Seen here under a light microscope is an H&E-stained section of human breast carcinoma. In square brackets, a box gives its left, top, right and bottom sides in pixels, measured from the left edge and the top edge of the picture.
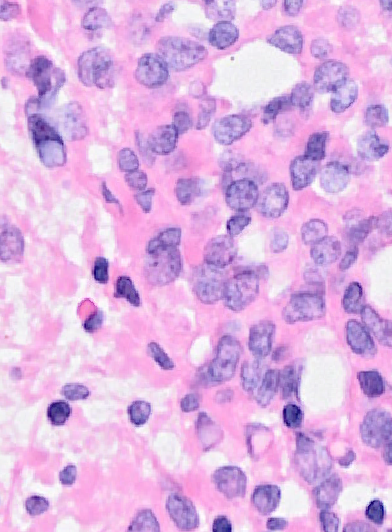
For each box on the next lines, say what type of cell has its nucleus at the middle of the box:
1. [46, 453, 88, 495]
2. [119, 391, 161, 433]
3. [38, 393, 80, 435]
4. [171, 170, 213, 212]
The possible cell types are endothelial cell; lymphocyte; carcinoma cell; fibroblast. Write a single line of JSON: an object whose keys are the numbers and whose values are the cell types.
{"1": "lymphocyte", "2": "lymphocyte", "3": "lymphocyte", "4": "carcinoma cell"}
